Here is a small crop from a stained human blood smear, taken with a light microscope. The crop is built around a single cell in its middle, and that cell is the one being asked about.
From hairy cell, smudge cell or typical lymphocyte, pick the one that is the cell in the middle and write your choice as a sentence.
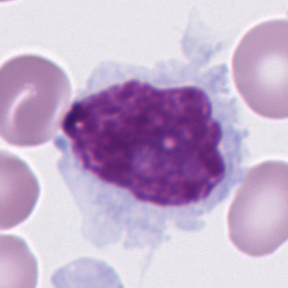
Located at the centre of the crop is a hairy cell.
